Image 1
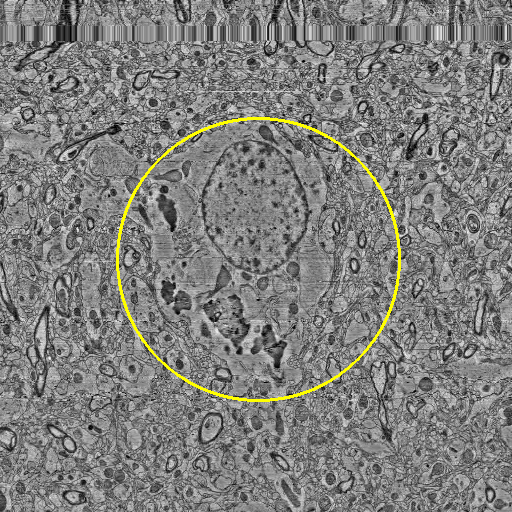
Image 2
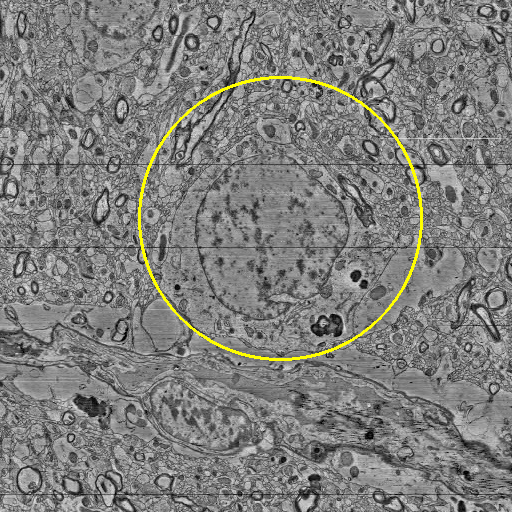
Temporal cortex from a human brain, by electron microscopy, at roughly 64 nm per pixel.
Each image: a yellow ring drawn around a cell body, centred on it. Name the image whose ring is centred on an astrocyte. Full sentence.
That is Image 1.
